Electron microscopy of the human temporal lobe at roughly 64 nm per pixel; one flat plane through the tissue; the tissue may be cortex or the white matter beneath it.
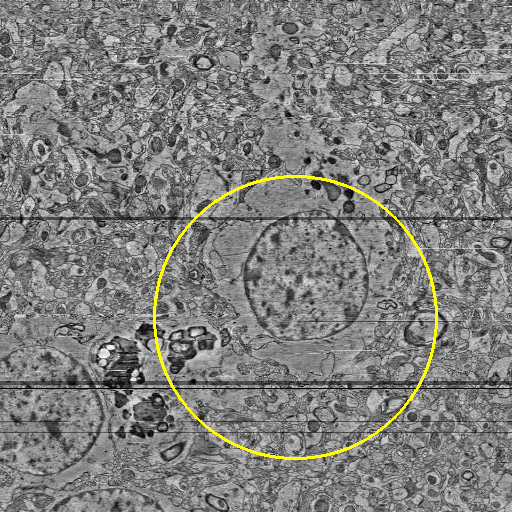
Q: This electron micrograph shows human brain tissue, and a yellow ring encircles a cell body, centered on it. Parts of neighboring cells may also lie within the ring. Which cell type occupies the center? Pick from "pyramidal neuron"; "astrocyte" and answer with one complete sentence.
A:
What sits at the ring's center in this micrograph is an astrocyte, among those choices.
